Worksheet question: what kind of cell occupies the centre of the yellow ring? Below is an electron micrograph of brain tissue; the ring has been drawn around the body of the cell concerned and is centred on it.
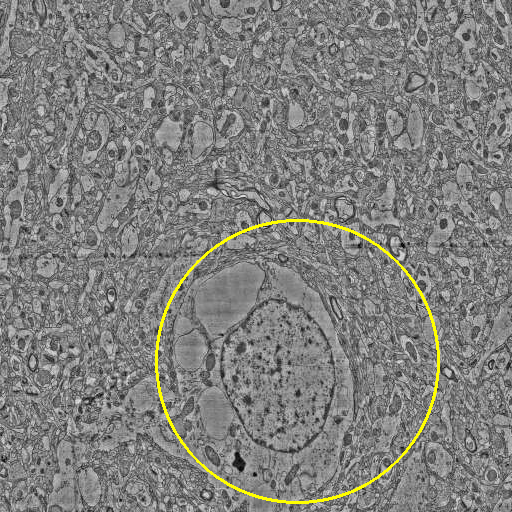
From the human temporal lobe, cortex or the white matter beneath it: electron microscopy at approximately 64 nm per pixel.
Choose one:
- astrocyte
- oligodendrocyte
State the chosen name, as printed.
astrocyte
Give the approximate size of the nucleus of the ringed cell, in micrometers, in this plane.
The ringed cell's nucleus is about 10 micrometres long and 7 micrometres wide in this plane.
